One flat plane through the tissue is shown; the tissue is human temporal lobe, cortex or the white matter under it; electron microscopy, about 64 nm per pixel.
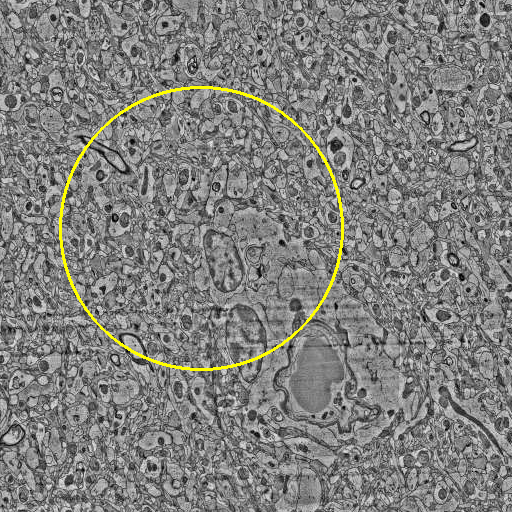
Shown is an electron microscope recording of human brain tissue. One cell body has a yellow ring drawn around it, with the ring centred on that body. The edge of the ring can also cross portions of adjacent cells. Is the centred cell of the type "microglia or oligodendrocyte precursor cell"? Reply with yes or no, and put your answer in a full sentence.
Yes, in the picture, the cell on which the ring is centred has this type.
